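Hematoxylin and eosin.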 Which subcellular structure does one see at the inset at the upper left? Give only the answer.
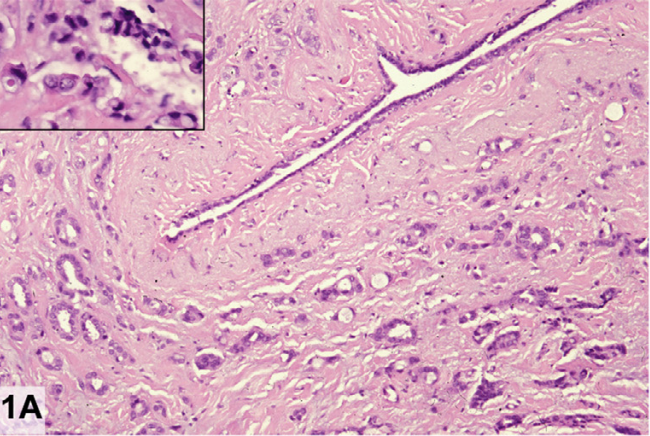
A: intracytoplasmic mucin vacuoles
